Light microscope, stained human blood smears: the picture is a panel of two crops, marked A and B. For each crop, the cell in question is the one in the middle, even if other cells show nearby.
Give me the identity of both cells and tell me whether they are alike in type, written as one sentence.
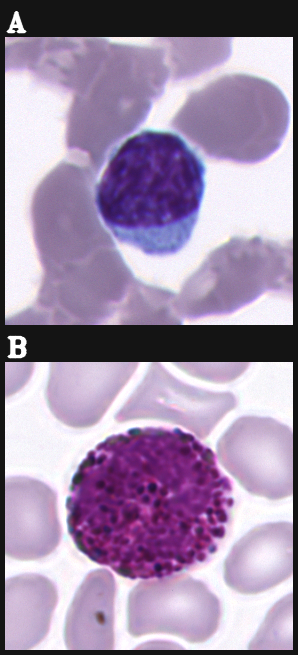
No, a basophil is depicted in crop B, whereas a lymphocyte is depicted in crop A.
